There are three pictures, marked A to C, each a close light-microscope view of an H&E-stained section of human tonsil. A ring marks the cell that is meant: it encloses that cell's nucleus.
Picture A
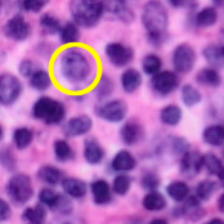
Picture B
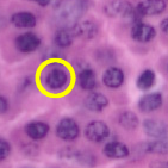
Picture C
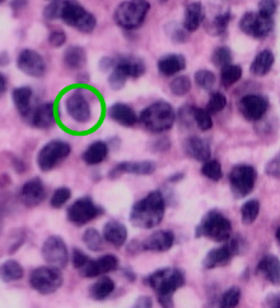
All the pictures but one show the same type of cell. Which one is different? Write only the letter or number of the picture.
B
